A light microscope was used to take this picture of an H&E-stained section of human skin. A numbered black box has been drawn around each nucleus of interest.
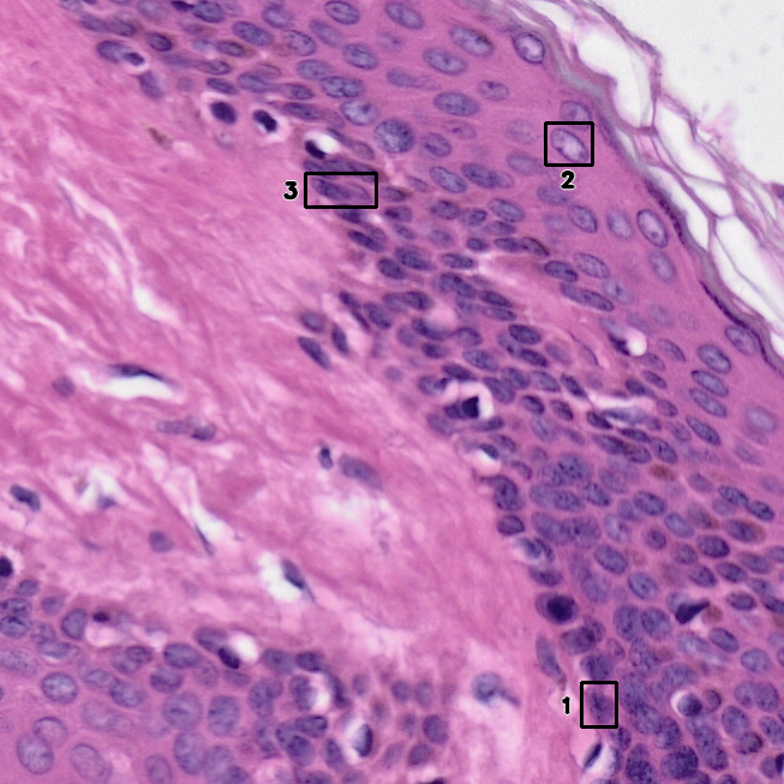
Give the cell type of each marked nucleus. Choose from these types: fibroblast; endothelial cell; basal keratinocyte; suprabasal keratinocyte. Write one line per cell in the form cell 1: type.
cell 1: basal keratinocyte
cell 2: suprabasal keratinocyte
cell 3: basal keratinocyte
